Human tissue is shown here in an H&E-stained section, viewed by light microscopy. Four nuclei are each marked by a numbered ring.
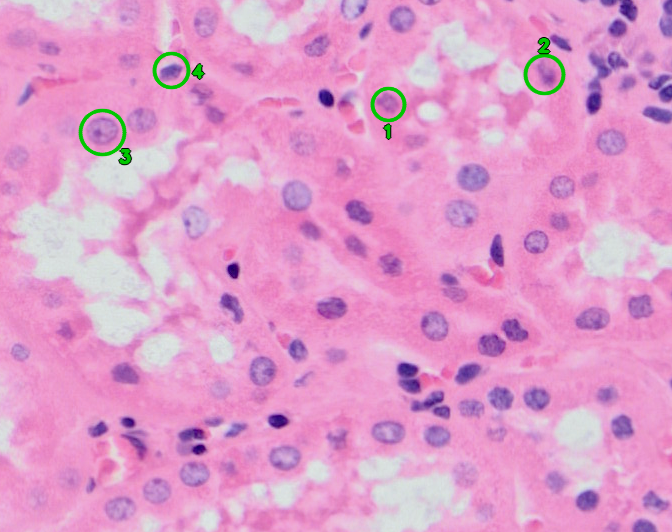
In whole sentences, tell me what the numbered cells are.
Cells 1, 2 and 3 are proximal tubule cells. Cell 4 is an endothelial cell.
